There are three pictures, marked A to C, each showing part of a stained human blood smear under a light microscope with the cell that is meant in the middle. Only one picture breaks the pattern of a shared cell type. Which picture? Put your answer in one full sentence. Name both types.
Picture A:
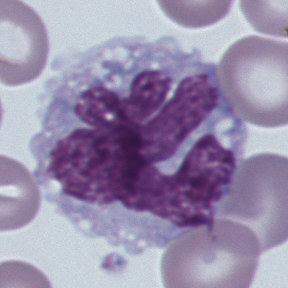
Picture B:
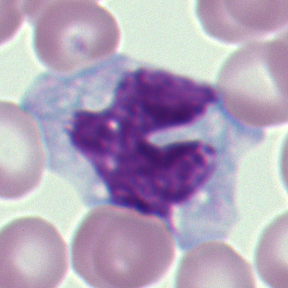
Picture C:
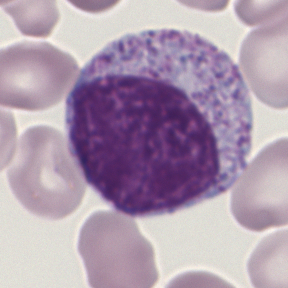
All pictures except C show monocytes; picture C shows a myelocyte.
